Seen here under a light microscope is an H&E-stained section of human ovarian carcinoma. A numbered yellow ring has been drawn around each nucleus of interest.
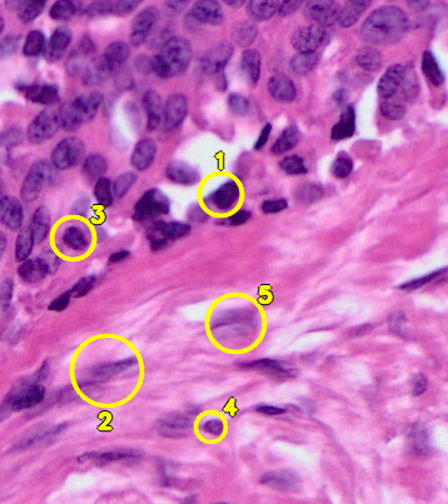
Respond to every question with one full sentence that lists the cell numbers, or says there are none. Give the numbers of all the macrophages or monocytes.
Cell number 3 alone is a macrophage or monocyte; the rest are not.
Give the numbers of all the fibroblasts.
The cells marked with the numbers 2, 4 and 5 are fibroblasts.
